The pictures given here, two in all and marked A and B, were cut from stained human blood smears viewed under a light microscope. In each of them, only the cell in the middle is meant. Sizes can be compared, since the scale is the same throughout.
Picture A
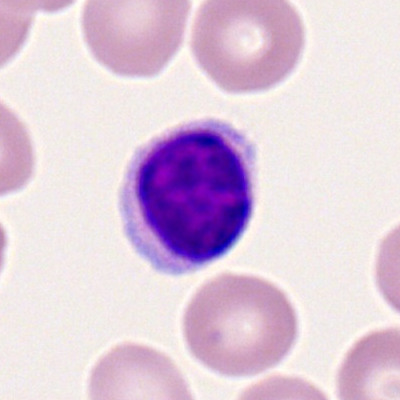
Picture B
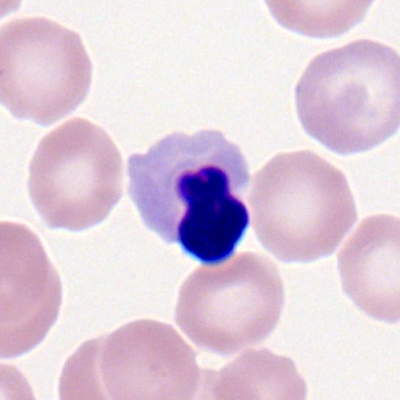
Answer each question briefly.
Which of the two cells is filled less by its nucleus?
B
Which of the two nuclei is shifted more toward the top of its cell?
A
